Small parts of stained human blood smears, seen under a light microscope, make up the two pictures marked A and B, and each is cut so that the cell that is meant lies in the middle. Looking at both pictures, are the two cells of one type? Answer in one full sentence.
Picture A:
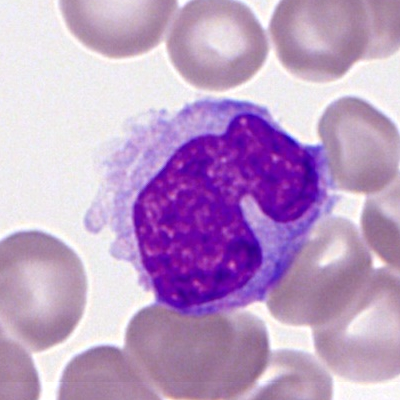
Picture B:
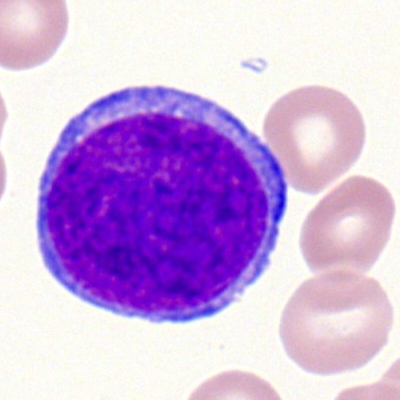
No. Picture A shows a monocyte, but picture B shows a myeloblast.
